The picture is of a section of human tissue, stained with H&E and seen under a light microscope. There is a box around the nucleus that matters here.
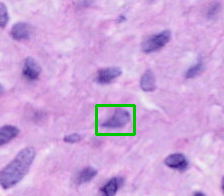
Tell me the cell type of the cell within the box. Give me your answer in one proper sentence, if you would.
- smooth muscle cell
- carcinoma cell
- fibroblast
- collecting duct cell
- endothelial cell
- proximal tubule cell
As for its identity, the cell within the box is a fibroblast.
